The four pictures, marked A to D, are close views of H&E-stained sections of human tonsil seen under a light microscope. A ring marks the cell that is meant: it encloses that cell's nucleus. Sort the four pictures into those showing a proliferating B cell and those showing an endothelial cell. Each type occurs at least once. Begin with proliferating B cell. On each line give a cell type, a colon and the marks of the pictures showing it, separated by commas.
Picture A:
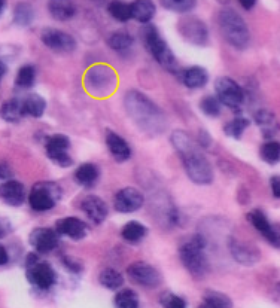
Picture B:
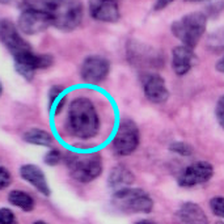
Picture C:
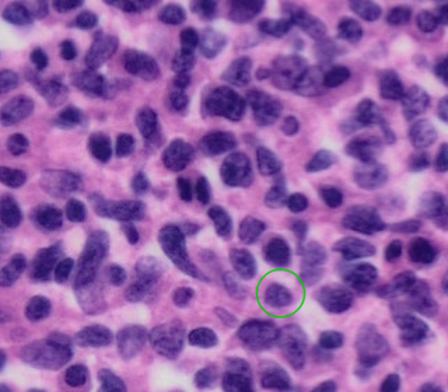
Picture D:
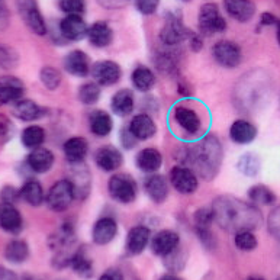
proliferating B cell: B, C
endothelial cell: A, D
